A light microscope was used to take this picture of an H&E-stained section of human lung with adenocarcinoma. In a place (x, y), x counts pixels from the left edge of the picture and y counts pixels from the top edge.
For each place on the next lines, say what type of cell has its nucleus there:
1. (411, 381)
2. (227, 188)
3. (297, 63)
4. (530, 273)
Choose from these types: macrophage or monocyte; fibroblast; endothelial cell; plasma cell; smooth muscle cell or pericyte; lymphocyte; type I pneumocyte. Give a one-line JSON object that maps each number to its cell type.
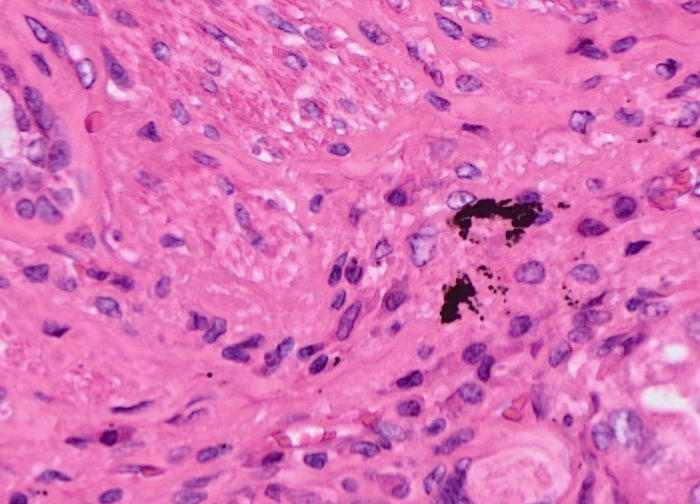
{"1": "plasma cell", "2": "smooth muscle cell or pericyte", "3": "smooth muscle cell or pericyte", "4": "fibroblast"}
